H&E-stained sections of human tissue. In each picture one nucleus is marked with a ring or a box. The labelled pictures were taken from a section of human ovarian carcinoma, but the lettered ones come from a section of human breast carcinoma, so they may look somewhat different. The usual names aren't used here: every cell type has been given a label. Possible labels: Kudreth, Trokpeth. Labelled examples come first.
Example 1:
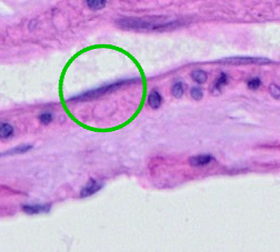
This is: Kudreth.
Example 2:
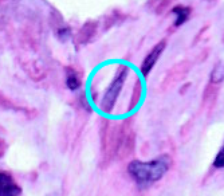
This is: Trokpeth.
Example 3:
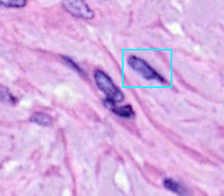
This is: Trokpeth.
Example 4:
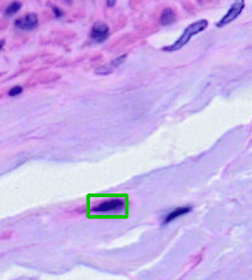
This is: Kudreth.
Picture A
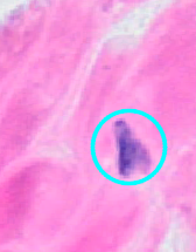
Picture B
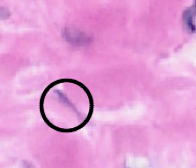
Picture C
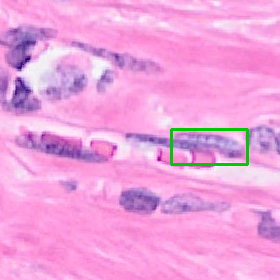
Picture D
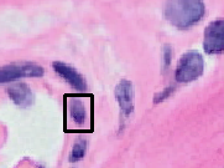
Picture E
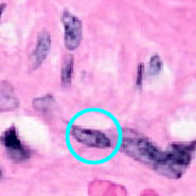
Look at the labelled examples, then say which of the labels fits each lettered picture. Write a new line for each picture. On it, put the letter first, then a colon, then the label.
A: Trokpeth.
B: Trokpeth.
C: Kudreth.
D: Kudreth.
E: Kudreth.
